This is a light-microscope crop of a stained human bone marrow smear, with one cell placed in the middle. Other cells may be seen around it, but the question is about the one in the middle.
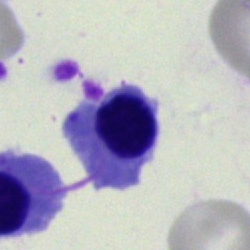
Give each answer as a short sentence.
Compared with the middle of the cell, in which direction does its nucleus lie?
The nucleus lies toward the upper right of the cell.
